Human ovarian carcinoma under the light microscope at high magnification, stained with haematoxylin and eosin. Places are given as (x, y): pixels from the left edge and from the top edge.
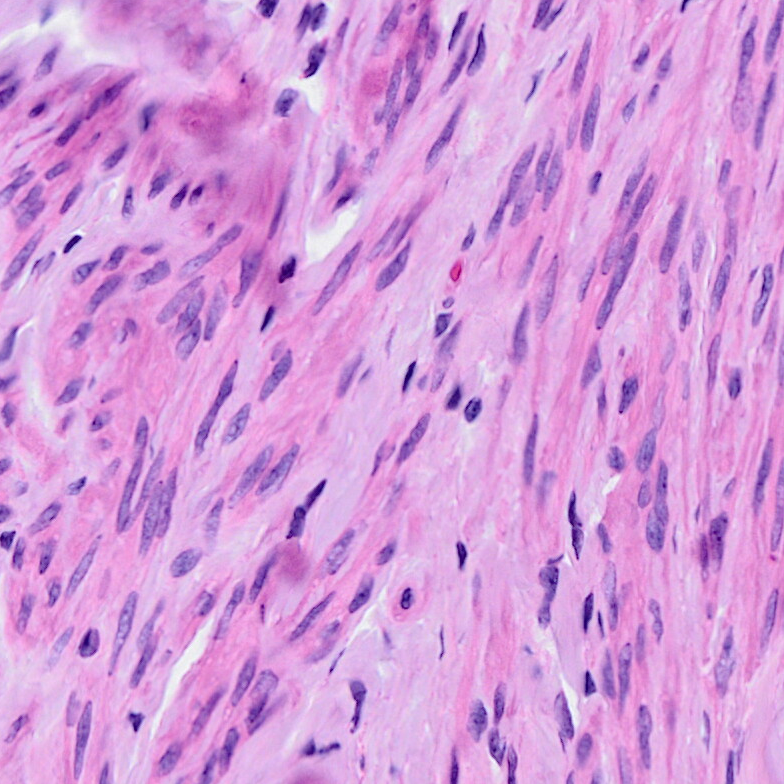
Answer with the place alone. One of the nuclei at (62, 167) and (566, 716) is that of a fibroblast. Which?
(566, 716)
